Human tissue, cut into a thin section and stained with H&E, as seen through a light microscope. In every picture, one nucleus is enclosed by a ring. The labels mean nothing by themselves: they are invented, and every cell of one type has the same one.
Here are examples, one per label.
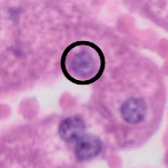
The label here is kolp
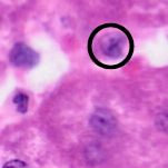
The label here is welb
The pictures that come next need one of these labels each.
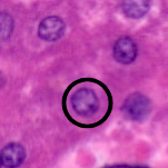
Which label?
kolp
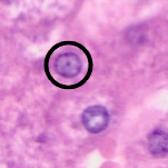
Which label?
kolp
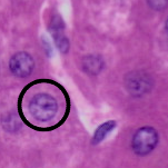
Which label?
kolp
